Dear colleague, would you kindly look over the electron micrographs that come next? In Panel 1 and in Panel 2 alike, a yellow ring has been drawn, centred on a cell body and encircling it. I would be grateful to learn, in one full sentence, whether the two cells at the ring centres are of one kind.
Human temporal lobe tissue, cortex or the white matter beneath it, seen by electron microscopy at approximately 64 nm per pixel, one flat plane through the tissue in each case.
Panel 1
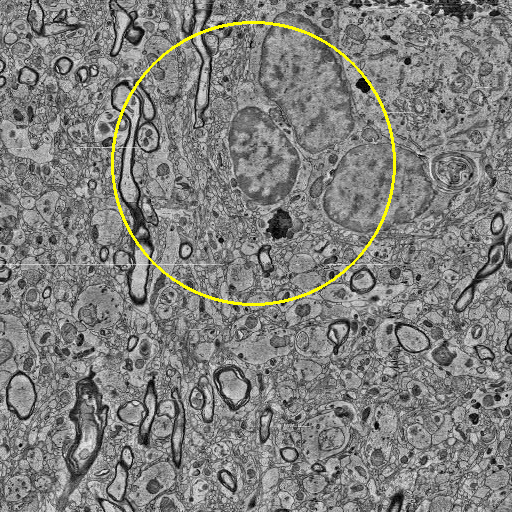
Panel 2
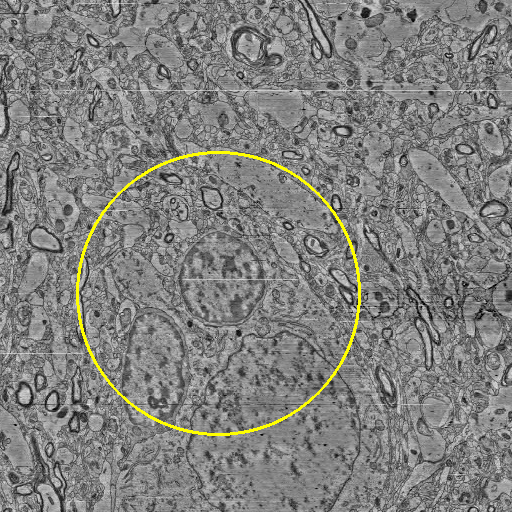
No, the cells in the middle of the rings in the two panels are of two kinds.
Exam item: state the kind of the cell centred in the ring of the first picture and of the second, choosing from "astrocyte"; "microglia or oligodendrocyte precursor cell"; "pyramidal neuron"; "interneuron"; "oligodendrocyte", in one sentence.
The first picture shows a microglial cell or oligodendrocyte precursor cell at the ring centre and the second shows an oligodendrocyte.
